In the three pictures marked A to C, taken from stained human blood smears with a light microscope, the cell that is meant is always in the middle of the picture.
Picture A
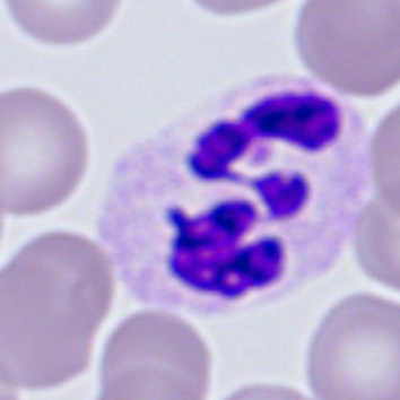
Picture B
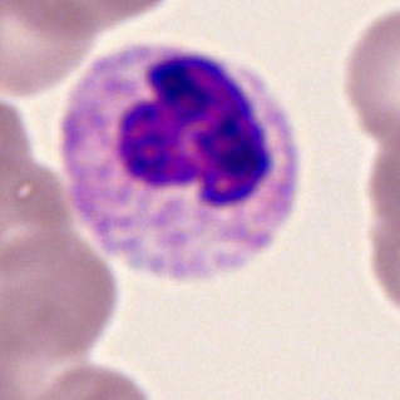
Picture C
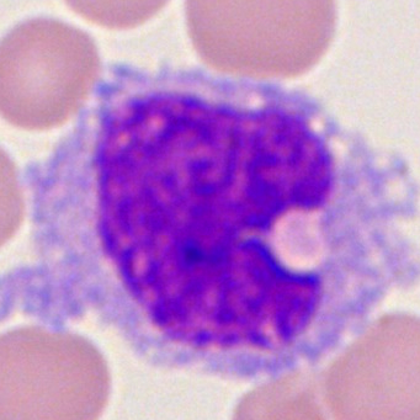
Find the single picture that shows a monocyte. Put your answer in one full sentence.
The monocyte is the one in picture C.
